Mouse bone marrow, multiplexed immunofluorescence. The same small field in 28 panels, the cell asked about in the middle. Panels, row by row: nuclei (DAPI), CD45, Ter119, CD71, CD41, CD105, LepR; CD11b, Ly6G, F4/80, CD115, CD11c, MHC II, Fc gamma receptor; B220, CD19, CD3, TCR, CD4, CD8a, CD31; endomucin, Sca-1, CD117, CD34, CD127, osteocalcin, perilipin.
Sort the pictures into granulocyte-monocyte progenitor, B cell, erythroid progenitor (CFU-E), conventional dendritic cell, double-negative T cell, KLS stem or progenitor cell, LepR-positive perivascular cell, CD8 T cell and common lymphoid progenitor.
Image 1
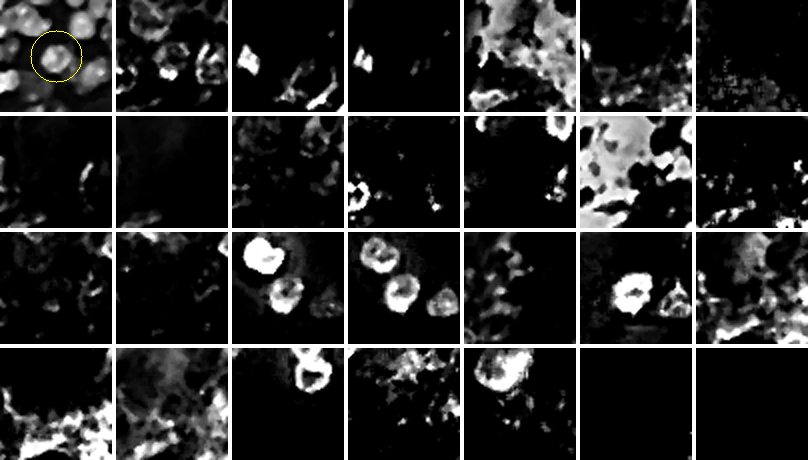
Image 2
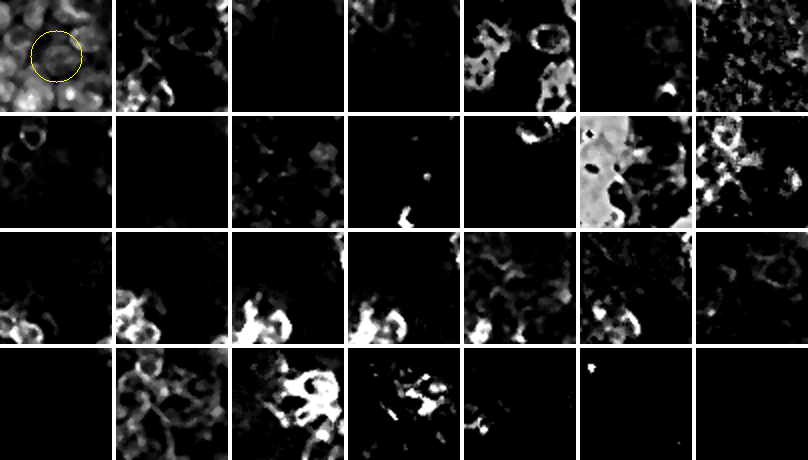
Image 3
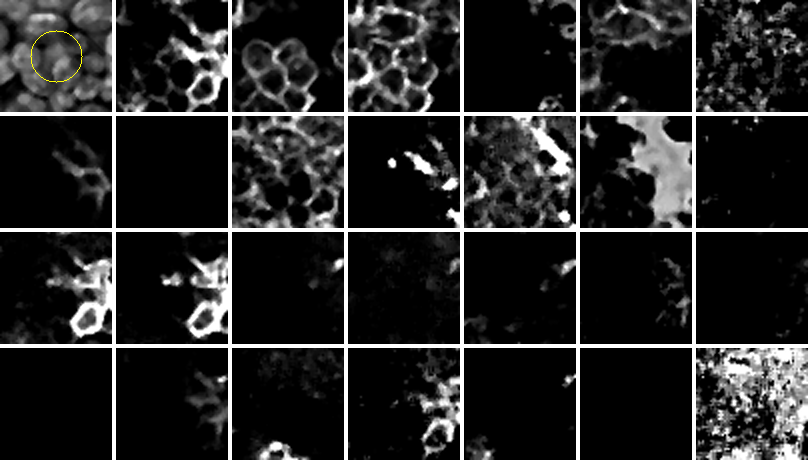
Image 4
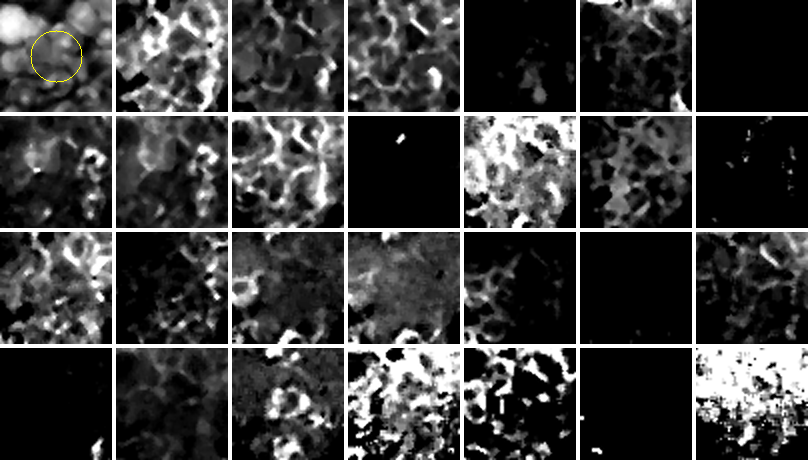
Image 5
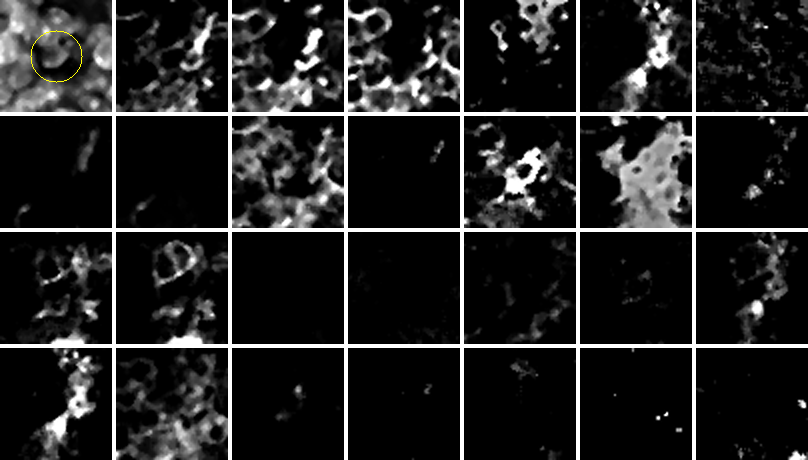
CD8 T cells: 1
Granulocyte-monocyte progenitors: 2
Conventional dendritic cells: 3, 5
Erythroid progenitors (CFU-E): 4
